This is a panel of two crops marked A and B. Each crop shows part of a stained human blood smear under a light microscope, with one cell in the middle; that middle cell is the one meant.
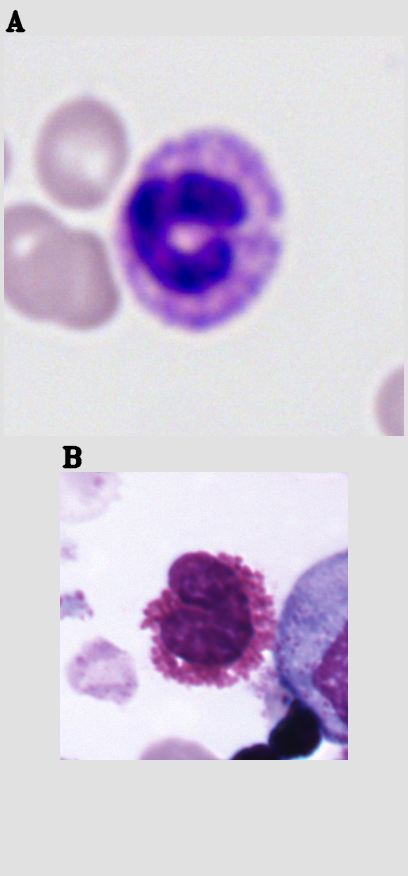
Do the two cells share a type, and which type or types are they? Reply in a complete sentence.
No, crop A shows a band neutrophil and crop B shows an eosinophil.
